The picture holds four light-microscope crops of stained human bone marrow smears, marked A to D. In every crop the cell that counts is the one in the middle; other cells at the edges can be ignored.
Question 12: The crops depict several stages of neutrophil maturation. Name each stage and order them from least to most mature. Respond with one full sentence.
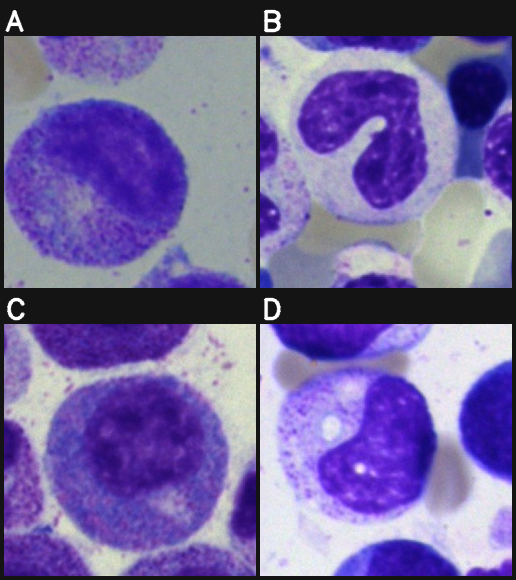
Ordered by maturity, from least to most, the crops are crop C (a promyelocyte), crop A (a myelocyte), crop D (a metamyelocyte) and crop B (a band neutrophil).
